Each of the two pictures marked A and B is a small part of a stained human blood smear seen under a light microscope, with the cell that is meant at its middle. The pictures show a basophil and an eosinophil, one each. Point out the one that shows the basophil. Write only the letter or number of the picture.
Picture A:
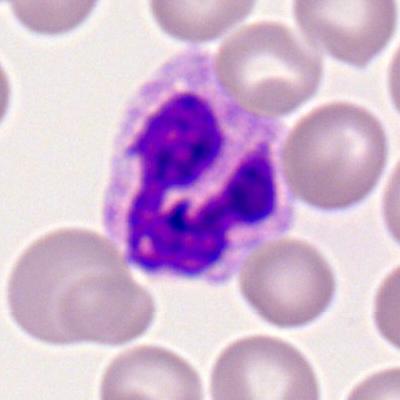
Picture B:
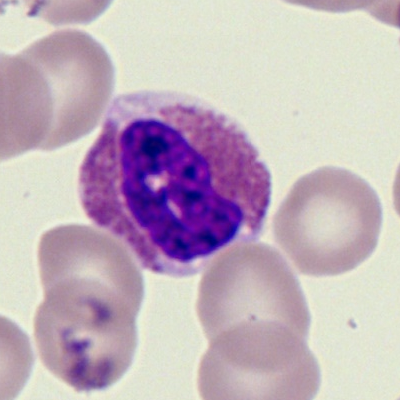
A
